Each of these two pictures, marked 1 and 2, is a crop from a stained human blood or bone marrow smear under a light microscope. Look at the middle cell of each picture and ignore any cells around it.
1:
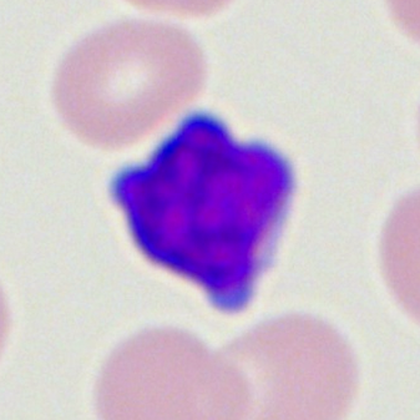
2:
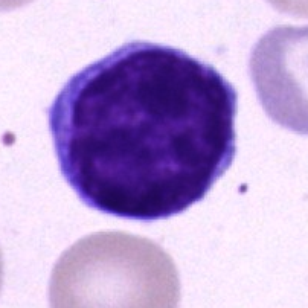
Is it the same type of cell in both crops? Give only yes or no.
yes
